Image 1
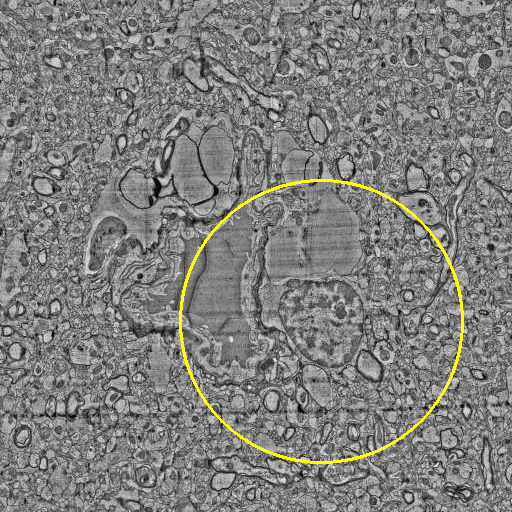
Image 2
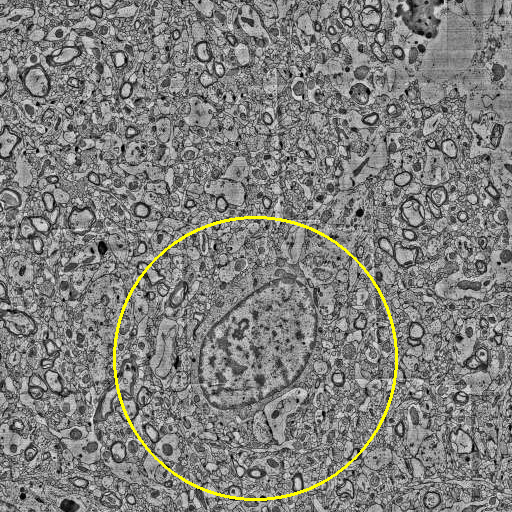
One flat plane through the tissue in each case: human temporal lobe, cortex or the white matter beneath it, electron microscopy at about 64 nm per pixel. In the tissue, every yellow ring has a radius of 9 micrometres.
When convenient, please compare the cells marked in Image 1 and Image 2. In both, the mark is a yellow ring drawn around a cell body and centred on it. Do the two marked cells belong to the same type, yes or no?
yes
